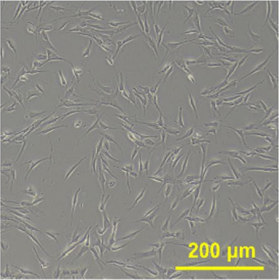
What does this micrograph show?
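Cultured adherent cells with spindle-like form, unstained, seen in bright field. The cells are long and slender, tapering at both ends, with a central slightly thicker body where the nucleus lies. They are spread at moderate density over the dish, leaving open gaps between them, and many lie roughly parallel in loose streams while others cross at angles. Processes are thin and long, some touching neighbouring cells.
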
